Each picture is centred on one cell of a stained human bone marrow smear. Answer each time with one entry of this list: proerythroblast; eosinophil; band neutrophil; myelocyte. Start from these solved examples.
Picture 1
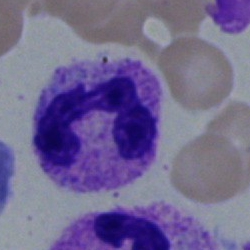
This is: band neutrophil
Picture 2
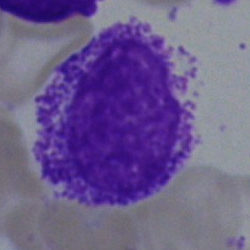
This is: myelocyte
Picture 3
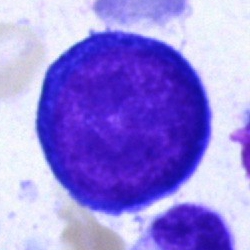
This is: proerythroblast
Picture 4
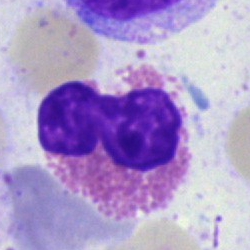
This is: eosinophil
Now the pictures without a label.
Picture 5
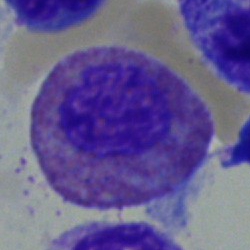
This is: eosinophil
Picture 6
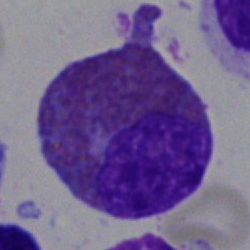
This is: eosinophil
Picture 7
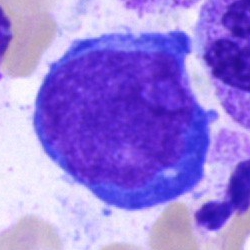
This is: proerythroblast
